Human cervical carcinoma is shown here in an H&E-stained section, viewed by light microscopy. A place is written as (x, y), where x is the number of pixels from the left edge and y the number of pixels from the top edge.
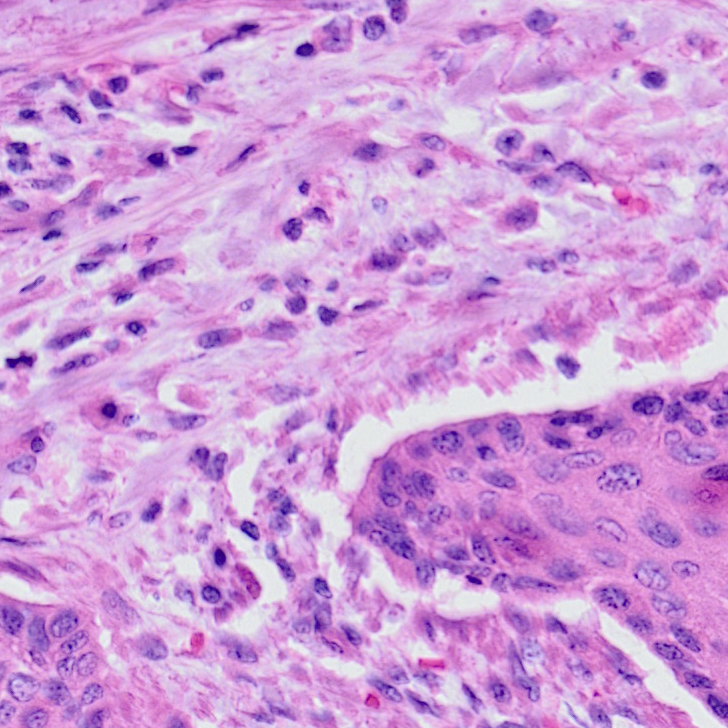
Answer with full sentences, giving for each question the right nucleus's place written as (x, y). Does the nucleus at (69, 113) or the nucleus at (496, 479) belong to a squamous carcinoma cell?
The nucleus positioned at (496, 479) is the one that belongs to a squamous carcinoma cell.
